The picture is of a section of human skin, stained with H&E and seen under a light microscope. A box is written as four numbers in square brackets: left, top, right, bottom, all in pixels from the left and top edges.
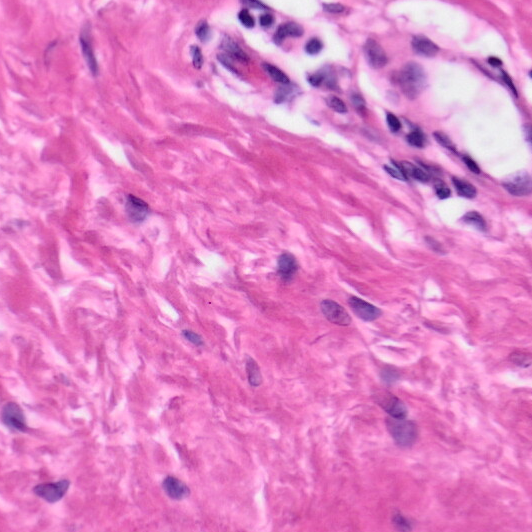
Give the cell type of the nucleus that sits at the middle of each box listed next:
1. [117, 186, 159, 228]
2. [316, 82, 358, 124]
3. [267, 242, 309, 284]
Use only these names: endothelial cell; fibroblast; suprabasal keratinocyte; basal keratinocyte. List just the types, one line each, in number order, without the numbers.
fibroblast
endothelial cell
fibroblast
